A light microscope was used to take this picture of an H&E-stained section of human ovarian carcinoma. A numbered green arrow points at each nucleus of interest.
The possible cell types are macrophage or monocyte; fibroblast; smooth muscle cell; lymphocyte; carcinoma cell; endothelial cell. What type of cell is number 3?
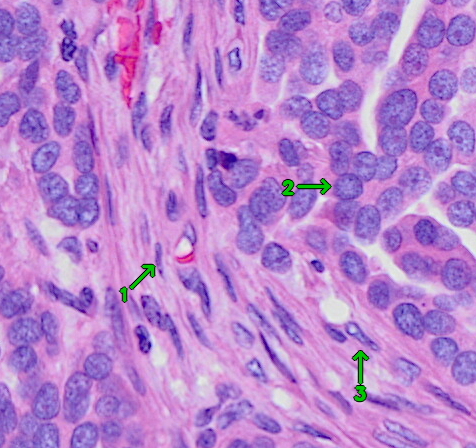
fibroblast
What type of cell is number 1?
fibroblast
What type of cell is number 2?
carcinoma cell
